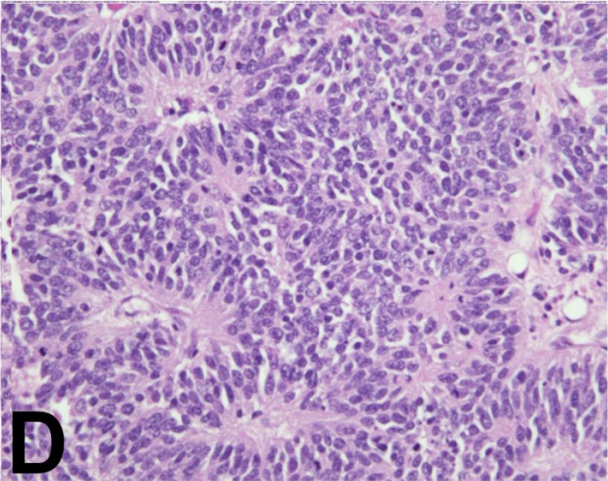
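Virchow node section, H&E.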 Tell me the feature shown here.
spoke-and-wheel configuration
